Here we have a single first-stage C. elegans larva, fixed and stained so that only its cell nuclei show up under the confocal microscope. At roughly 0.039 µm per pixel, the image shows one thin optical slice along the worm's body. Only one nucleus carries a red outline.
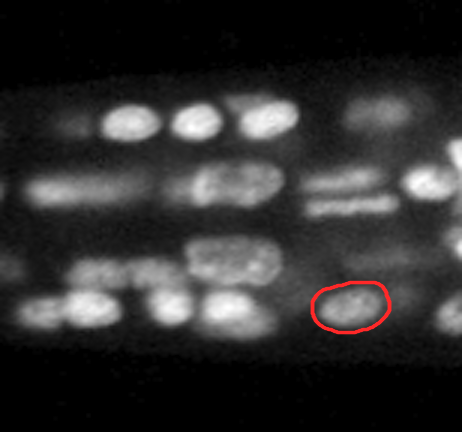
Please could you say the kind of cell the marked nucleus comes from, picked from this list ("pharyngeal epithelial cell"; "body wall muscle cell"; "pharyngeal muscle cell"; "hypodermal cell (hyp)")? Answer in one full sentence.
It is the nucleus of a hypodermal cell (hyp).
